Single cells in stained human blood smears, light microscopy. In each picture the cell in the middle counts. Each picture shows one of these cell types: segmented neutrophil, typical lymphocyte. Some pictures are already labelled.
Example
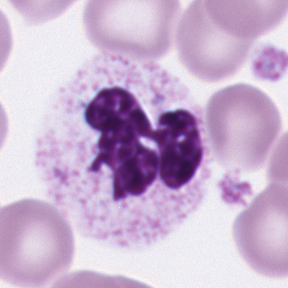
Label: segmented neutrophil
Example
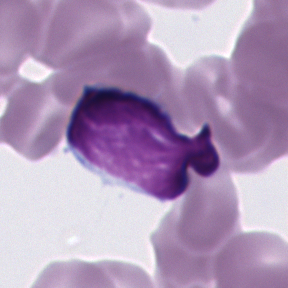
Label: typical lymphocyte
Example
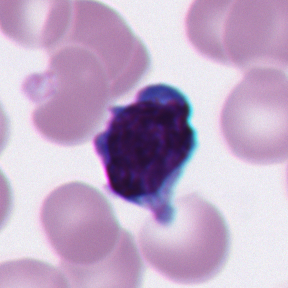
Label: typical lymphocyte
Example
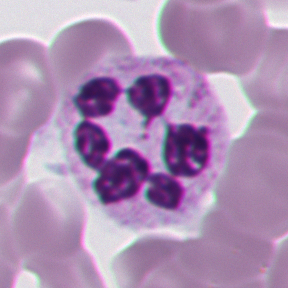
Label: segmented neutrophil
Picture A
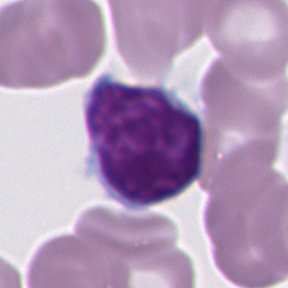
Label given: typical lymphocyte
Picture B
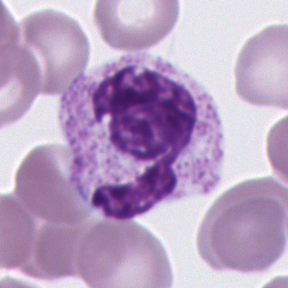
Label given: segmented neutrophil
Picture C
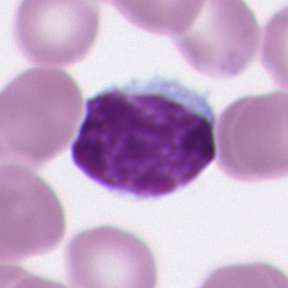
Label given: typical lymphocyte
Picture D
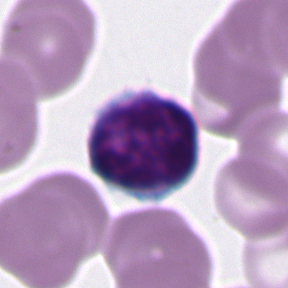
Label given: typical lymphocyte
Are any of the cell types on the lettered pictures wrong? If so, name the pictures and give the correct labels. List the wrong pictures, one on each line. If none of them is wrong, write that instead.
No label is wrong.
